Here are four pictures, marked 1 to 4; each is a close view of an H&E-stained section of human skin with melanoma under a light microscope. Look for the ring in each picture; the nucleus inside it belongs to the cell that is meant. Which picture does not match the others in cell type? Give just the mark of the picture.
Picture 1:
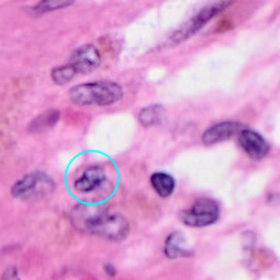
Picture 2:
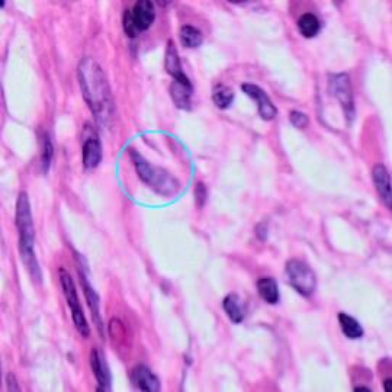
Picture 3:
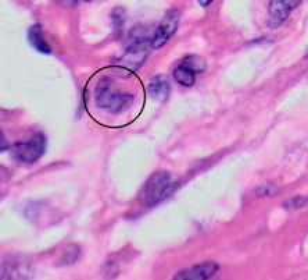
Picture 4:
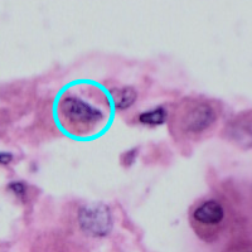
1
